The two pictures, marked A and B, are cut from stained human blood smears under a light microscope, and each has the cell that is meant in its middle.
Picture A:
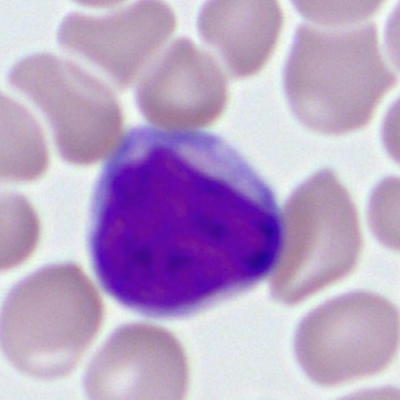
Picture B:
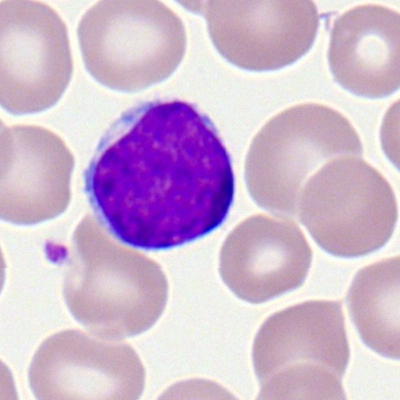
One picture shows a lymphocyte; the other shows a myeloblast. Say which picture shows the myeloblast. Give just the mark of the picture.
A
